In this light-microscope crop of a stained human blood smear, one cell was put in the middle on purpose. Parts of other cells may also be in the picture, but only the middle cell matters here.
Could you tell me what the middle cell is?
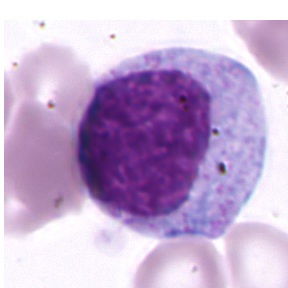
promyelocyte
